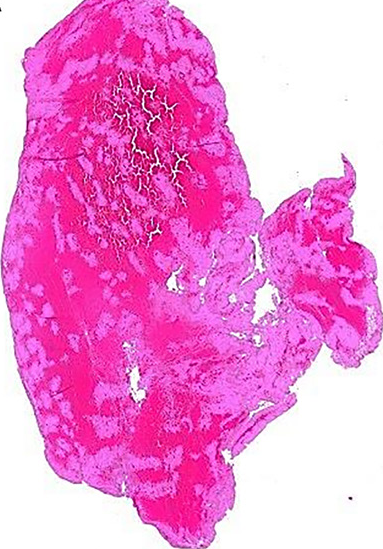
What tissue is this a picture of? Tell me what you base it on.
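A single compact mass made of alternating deep pink and paler pink-violet areas. No purple foreign fragments are present in the mass.
Hence: Thrombus.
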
